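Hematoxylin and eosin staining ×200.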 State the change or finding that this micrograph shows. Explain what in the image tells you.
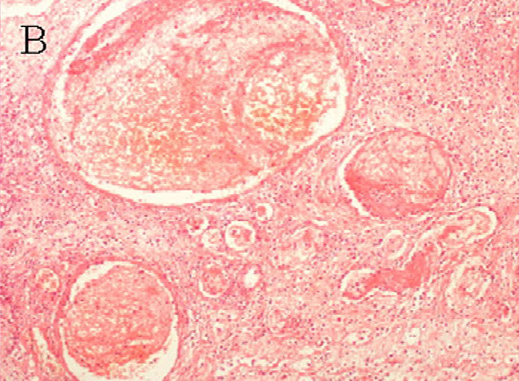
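Several round vessel profiles have lumina filled with pink material. The largest vessel lumen is packed with pale pink, granular to layered material with red cells. Small vessel profiles lie scattered in surrounding cellular tissue. On this evidence: thrombosis of vessels.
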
